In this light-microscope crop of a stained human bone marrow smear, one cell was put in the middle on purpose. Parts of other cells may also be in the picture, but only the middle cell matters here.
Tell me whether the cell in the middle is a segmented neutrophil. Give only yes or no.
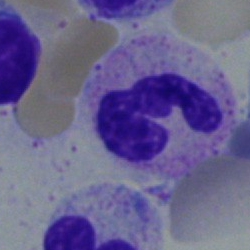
no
